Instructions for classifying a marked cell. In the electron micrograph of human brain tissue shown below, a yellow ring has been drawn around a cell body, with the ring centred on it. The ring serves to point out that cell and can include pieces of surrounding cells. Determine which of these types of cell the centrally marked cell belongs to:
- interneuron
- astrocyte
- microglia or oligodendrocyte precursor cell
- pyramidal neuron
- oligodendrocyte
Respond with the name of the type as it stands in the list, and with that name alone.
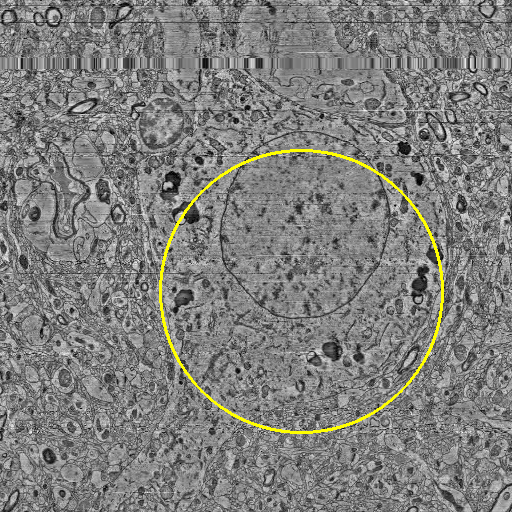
pyramidal neuron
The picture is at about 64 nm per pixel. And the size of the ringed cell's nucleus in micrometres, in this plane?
The ringed cell's nucleus measures approximately 12 by 11 micrometres in this plane.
